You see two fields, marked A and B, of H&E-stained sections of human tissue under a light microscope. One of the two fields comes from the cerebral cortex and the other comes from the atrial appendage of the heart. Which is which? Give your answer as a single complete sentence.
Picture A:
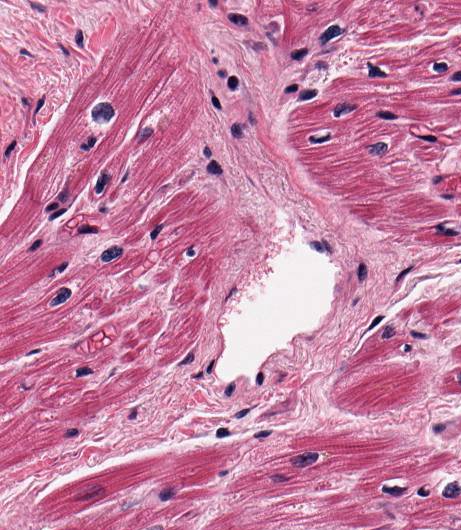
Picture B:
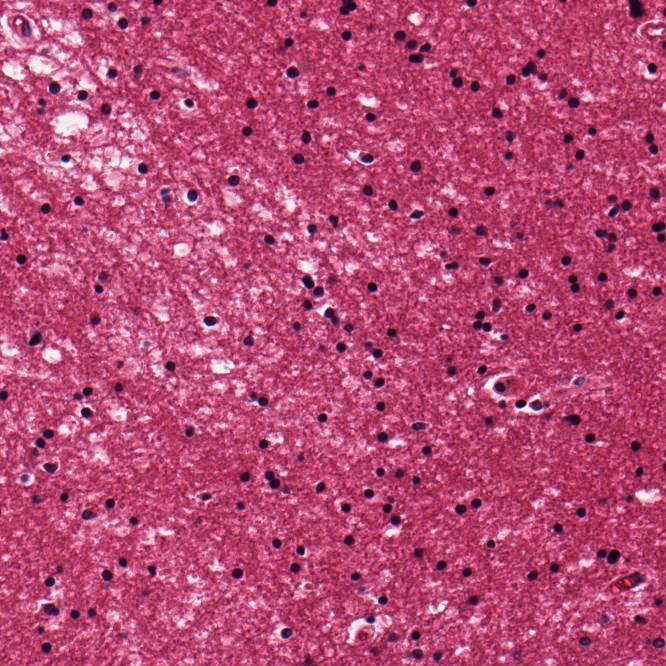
It is picture A that comes from the atrial appendage of the heart, and picture B that comes from the cerebral cortex.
